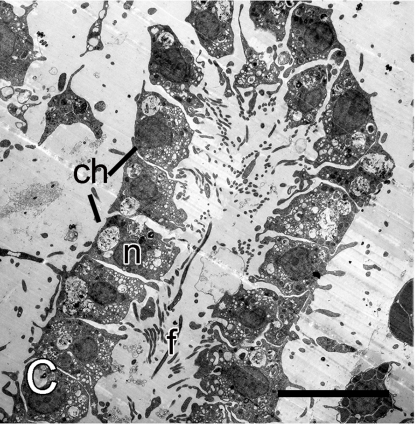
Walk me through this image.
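This is a chamber of collar cells in the sponge, cut so that two walls of cells face each other across a central space. The cells are cuboidal to columnar, set closely side by side, each with a dark nucleus and cytoplasm full of small vesicles. Into the lumen between the walls project many slender threads, the flagella, cut in various directions. Around the chamber lies a pale surrounding matrix with scattered cell profiles.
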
